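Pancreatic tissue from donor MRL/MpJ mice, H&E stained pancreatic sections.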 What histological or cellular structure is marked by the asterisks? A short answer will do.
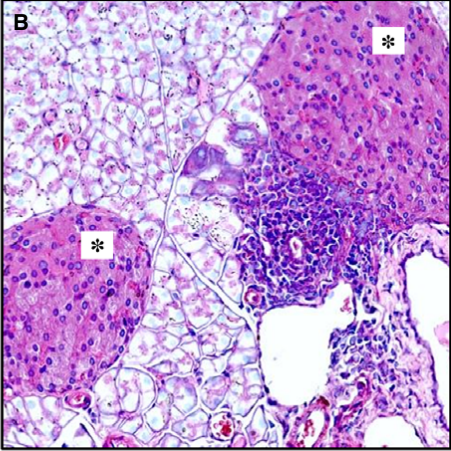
islets of Langerhans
